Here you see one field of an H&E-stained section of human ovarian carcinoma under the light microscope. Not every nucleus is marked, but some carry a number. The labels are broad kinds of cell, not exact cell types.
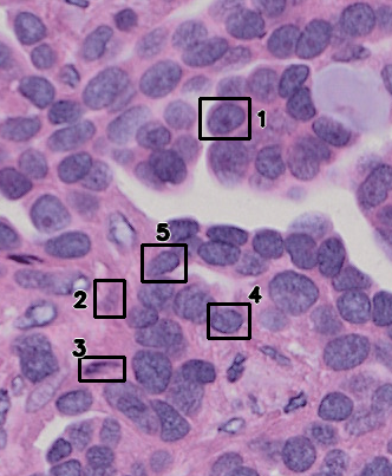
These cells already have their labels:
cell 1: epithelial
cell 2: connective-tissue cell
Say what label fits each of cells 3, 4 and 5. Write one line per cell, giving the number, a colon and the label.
3: connective-tissue cell
4: epithelial
5: epithelial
